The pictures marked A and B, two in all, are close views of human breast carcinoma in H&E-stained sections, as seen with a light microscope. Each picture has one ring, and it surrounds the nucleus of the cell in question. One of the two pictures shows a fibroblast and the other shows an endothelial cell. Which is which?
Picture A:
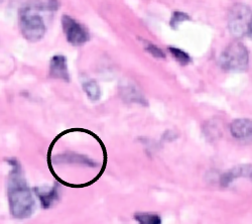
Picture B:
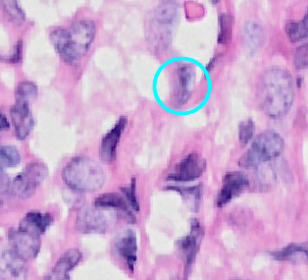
A: fibroblast
B: endothelial cell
